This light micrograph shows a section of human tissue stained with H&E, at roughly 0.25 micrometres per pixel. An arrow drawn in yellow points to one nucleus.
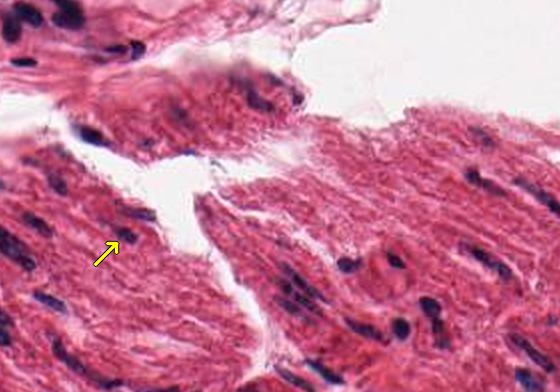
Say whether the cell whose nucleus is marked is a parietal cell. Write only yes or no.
no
